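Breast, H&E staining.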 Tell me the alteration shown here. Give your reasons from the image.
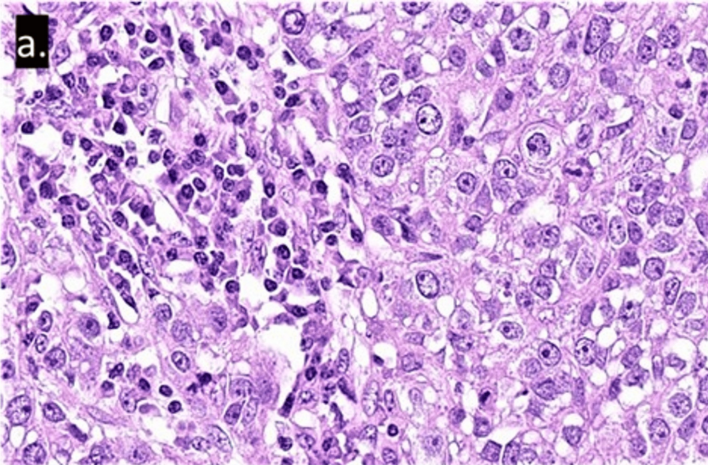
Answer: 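Sheets of large polygonal cells without gland formation. Large vesicular nuclei with prominent nucleoli. Nuclei vary in size and shape. That points to this answer: poorly differentiated invasive carcinoma.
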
